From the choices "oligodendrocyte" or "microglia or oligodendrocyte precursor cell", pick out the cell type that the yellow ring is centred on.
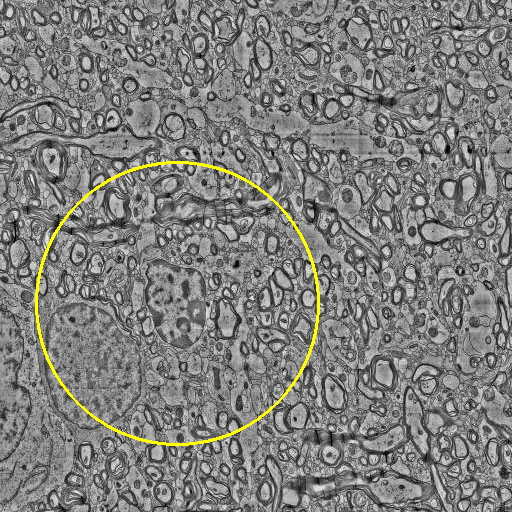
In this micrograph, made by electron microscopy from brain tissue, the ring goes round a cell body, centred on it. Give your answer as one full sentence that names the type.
The yellow ring is centred on a microglial cell or oligodendrocyte precursor cell, whose cell body it encircles in the picture.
